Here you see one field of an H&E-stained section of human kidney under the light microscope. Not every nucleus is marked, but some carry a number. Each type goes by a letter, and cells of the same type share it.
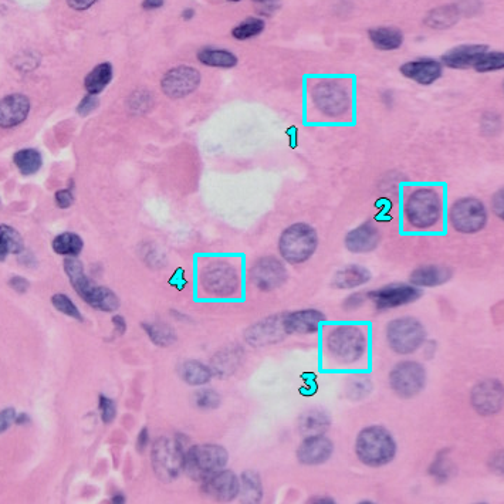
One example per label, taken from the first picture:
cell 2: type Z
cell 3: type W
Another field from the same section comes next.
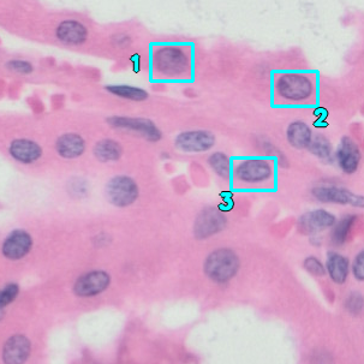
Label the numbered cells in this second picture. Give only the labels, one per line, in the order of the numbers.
type Z
type Z
type W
